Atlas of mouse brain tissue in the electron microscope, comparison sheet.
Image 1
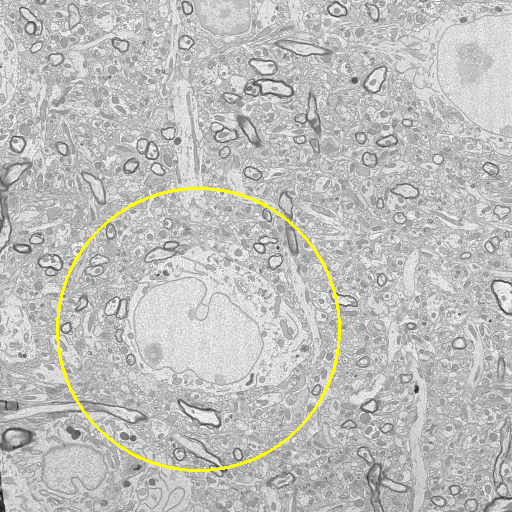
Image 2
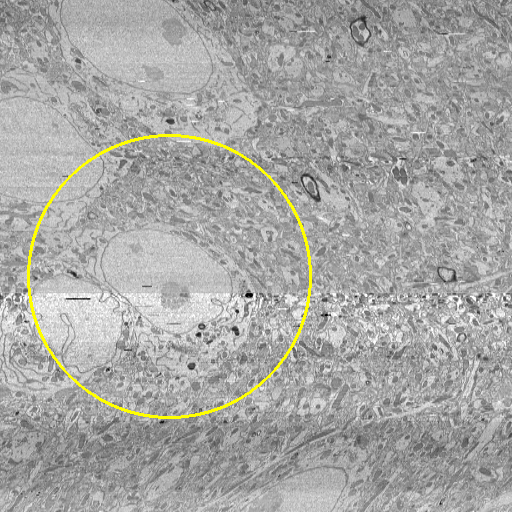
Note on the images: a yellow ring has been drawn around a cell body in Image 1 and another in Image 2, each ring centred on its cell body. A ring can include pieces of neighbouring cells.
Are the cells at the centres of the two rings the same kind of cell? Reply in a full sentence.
Yes, both cells are of the same kind.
